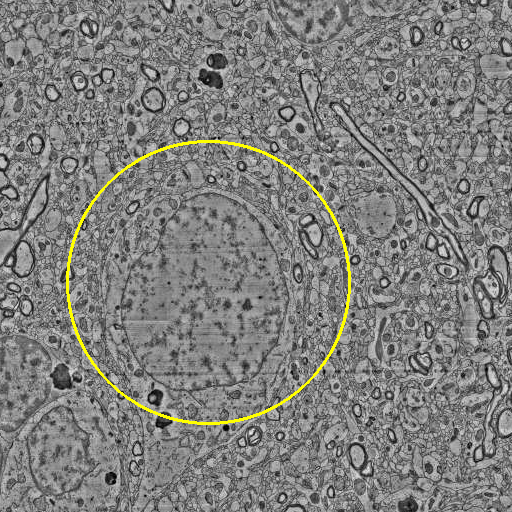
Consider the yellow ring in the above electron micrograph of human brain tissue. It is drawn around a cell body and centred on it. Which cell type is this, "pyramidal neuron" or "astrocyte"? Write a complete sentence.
The cell in question is a pyramidal neuron.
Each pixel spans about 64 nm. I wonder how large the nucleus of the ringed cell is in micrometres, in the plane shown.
In this plane, roughly 13 by 11 micrometres.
